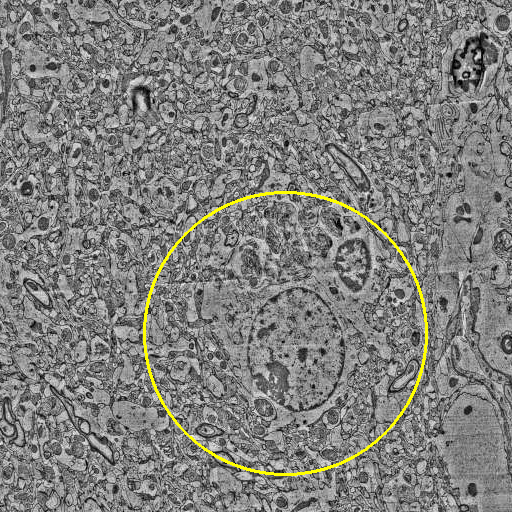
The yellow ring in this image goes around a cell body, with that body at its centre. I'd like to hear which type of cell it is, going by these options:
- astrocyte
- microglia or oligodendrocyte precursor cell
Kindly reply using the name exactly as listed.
astrocyte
